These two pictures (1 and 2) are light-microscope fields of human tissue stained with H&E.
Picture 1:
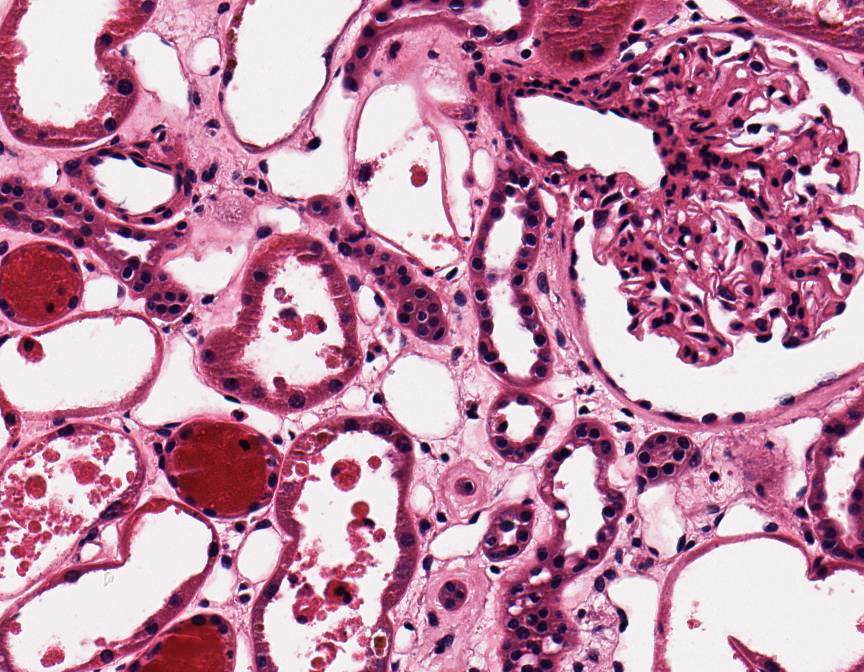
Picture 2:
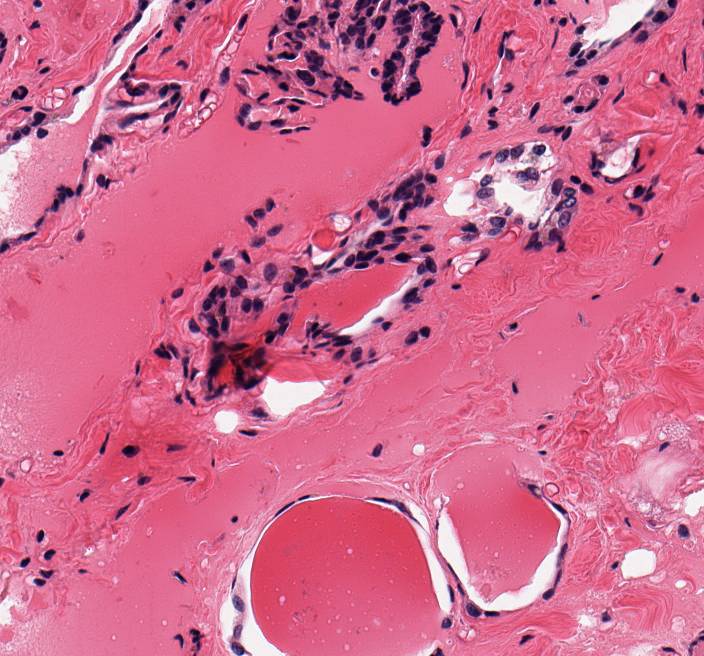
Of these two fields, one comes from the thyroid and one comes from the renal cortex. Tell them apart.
1: renal cortex
2: thyroid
